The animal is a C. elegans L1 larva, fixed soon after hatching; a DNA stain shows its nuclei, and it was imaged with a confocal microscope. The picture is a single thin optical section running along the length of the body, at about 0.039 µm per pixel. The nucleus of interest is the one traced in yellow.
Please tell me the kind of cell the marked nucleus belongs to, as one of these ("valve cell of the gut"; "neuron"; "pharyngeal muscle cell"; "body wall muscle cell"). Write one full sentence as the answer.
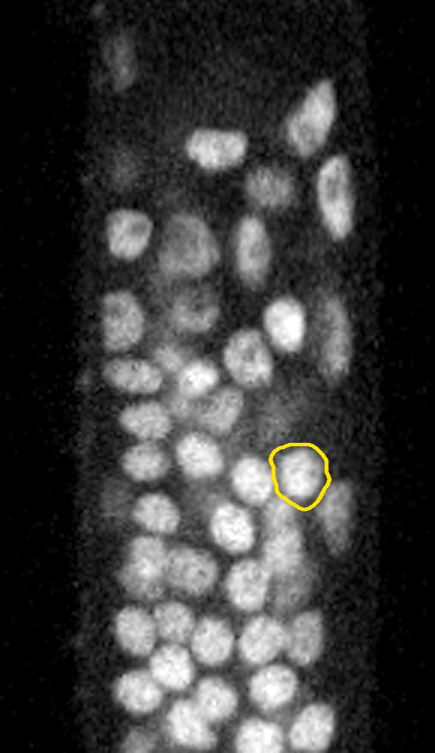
The marked cell is a neuron.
